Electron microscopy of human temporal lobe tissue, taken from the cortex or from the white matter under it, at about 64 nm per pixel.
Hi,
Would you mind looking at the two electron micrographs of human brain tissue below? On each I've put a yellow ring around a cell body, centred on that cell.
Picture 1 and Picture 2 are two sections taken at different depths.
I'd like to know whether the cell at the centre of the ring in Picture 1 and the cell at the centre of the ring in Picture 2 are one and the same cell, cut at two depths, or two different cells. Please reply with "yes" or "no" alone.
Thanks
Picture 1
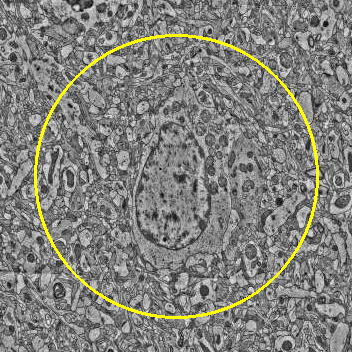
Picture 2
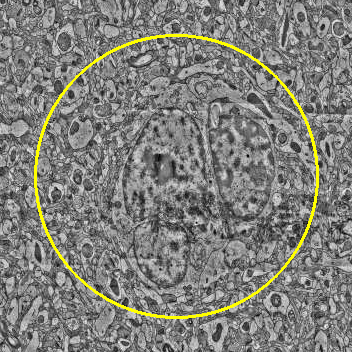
yes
